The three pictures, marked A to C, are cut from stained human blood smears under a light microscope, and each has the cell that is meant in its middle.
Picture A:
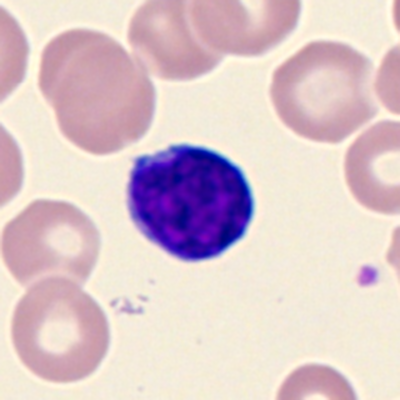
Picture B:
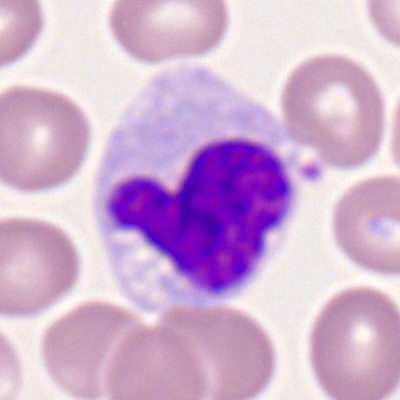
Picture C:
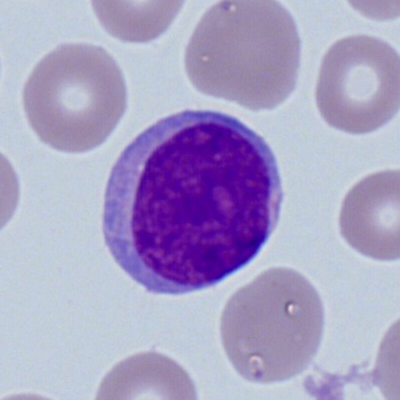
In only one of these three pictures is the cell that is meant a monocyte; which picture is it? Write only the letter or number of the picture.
B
